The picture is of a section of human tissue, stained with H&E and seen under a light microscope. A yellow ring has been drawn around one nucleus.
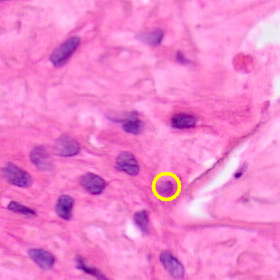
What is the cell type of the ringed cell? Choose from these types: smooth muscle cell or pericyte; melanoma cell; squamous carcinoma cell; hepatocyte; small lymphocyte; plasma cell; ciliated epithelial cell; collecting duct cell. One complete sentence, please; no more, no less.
Among the cells in this section, the ringed cell is a smooth muscle cell or pericyte.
